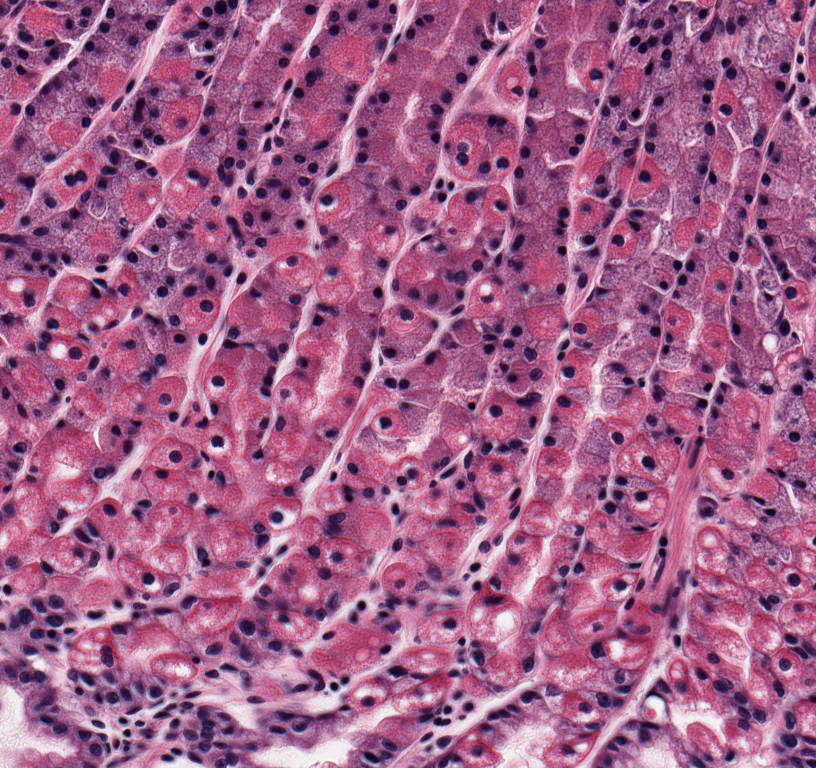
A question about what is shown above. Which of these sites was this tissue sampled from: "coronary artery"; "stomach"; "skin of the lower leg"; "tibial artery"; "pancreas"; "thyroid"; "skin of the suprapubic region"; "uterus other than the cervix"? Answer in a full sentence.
The site this tissue was sampled from is the stomach.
